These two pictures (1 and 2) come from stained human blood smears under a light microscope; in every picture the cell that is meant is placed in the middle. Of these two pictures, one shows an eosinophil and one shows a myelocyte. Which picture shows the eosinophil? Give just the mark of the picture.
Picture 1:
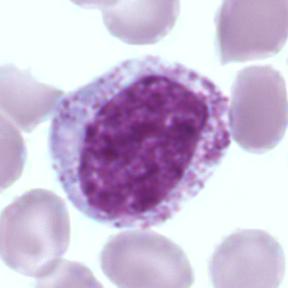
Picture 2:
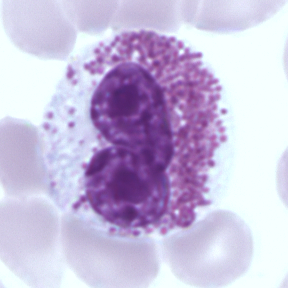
2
